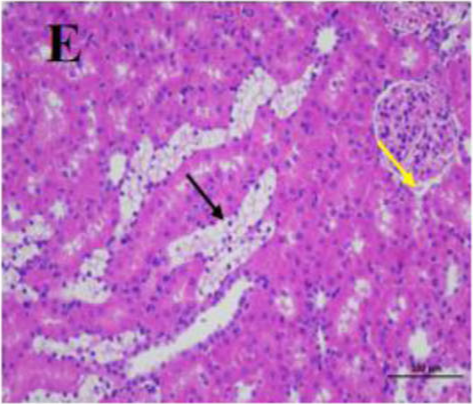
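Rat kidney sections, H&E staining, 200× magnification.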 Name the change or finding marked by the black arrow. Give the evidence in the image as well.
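A band of tubules has pale, foamy, clear cytoplasm. Surrounding tubules are stained deep pink.
Hence: cytoplasmic vacuolation of renal tubular epithelial cells.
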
